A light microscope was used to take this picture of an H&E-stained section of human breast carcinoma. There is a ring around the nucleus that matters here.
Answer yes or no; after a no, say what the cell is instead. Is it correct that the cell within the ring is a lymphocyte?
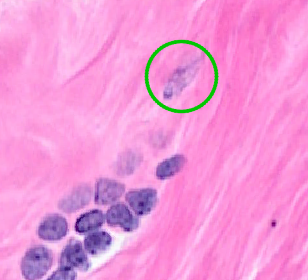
No, it is a fibroblast.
